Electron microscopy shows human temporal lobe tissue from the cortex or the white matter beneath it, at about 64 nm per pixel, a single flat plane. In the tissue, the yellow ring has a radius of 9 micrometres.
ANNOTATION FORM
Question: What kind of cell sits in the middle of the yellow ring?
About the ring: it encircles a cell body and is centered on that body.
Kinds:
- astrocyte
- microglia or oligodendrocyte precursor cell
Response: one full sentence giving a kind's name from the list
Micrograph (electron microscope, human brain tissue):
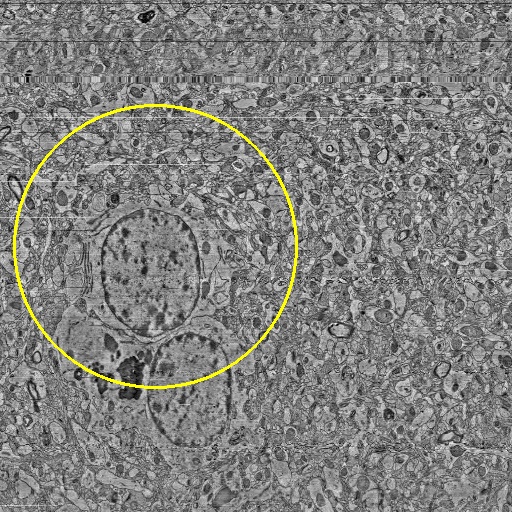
The kind of cell found at the center of the yellow ring in the micrograph is an astrocyte.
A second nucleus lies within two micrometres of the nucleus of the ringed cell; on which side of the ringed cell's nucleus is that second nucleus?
The other nucleus appears to the lower right of it.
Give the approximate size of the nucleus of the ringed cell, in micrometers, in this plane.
The nucleus is approximately 9 micrometers long by 6 micrometers wide in this plane.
